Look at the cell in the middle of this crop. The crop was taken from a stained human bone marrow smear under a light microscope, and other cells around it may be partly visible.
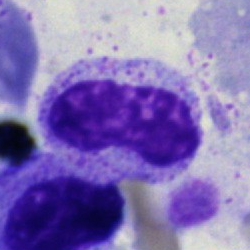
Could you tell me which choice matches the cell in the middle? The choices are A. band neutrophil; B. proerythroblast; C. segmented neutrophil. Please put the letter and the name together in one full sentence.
Well, the cell in the middle is a band neutrophil, making option A right.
